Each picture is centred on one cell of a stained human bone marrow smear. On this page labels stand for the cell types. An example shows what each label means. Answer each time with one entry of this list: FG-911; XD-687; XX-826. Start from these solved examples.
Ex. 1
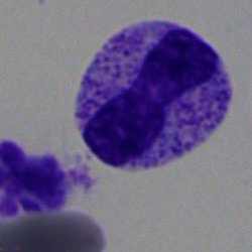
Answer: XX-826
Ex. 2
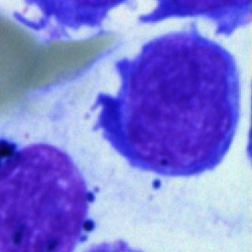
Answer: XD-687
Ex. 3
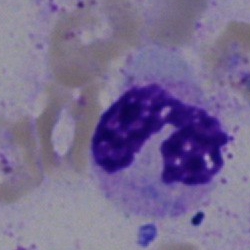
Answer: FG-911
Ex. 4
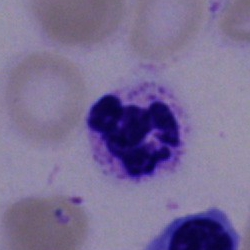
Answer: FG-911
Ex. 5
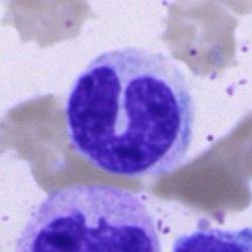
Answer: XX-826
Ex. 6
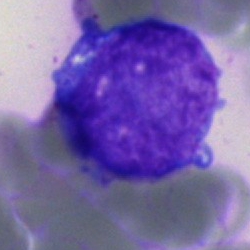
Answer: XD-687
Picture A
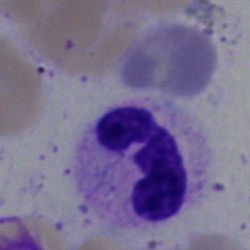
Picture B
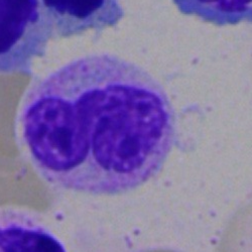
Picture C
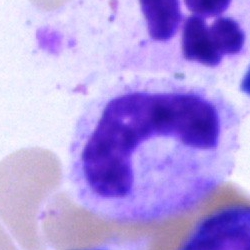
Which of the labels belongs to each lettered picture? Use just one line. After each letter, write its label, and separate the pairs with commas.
A FG-911, B XX-826, C XX-826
